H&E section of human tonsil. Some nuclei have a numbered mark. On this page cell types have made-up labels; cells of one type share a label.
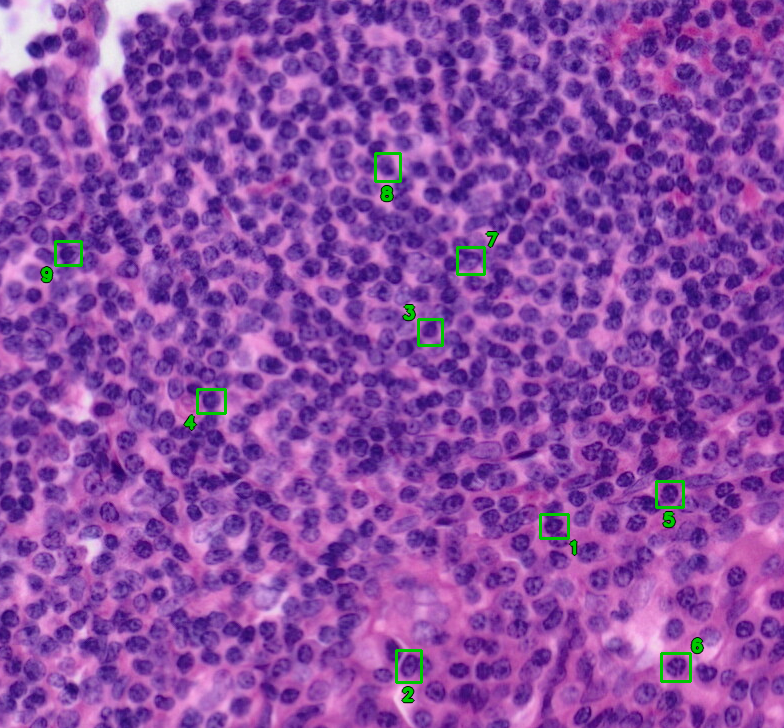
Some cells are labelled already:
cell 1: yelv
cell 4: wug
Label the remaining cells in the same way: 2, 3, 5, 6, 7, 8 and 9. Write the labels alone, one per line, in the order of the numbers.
yelv
wug
yelv
yelv
wug
wug
wug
